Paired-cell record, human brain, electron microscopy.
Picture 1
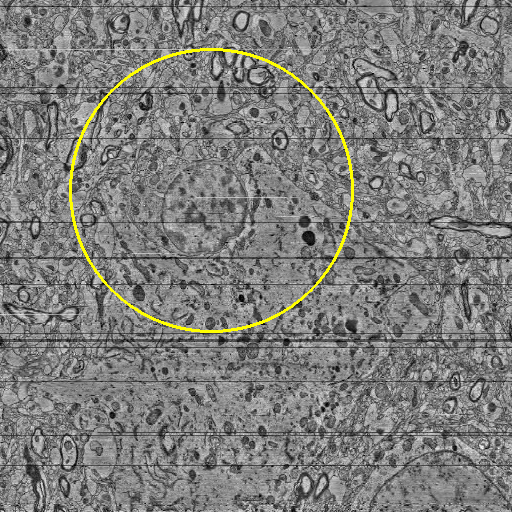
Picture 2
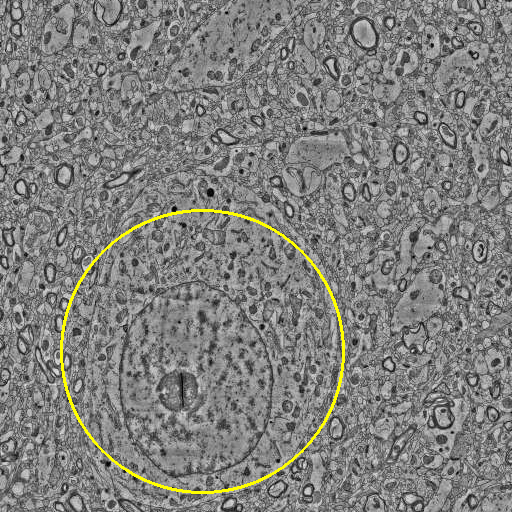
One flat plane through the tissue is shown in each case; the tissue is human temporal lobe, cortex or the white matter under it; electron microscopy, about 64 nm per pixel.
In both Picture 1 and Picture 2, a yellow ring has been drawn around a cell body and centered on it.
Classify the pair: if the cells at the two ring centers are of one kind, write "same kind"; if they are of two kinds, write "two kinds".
two kinds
